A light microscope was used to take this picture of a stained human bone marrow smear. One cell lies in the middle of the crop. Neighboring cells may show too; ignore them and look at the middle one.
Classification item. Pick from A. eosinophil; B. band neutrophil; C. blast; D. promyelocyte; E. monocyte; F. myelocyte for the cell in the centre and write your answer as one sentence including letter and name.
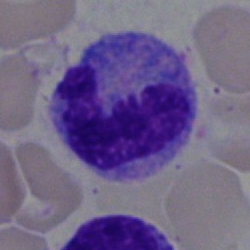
The expected answer is option E, the central cell being a monocyte.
